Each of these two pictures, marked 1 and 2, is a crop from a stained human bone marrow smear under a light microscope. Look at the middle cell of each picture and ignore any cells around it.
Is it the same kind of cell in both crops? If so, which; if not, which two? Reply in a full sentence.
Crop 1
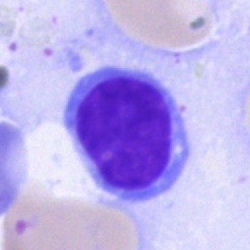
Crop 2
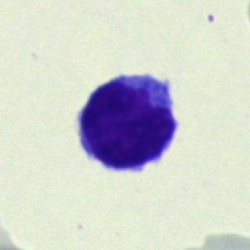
Yes, in both crops the centred cells are lymphocytes.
